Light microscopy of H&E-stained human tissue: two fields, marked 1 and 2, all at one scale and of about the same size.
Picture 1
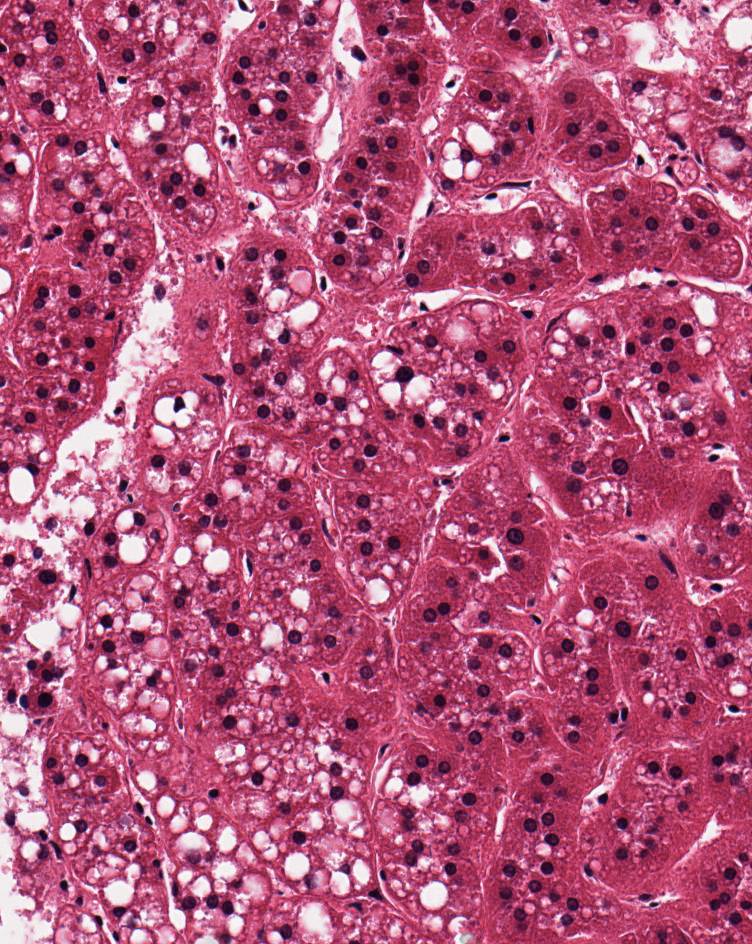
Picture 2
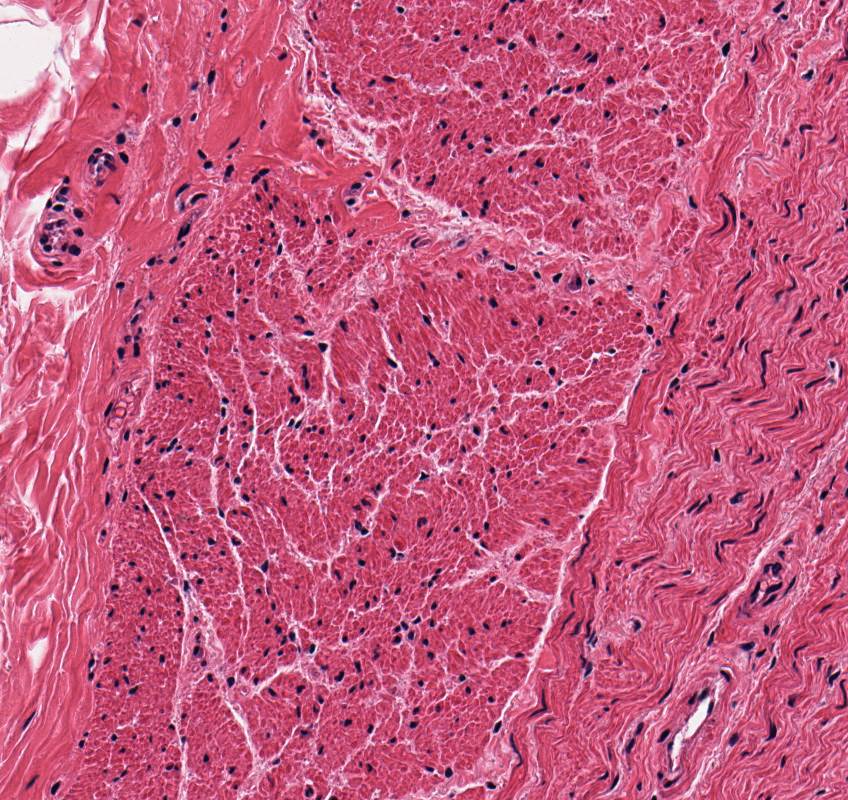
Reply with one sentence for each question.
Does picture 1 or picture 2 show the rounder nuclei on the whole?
It is picture 1 whose nuclei are the rounder.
